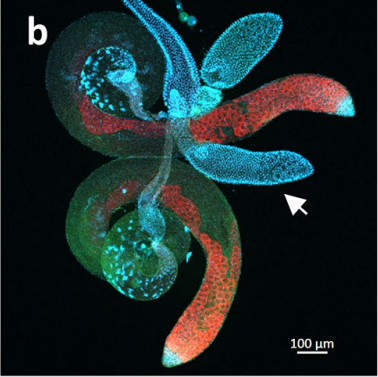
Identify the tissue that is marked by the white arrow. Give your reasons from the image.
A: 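The arrow points at a blind-ended sac packed with small blue nuclei. The sac shows no red stain, unlike the coiled tube beside it.
Somatic accessory glands.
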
